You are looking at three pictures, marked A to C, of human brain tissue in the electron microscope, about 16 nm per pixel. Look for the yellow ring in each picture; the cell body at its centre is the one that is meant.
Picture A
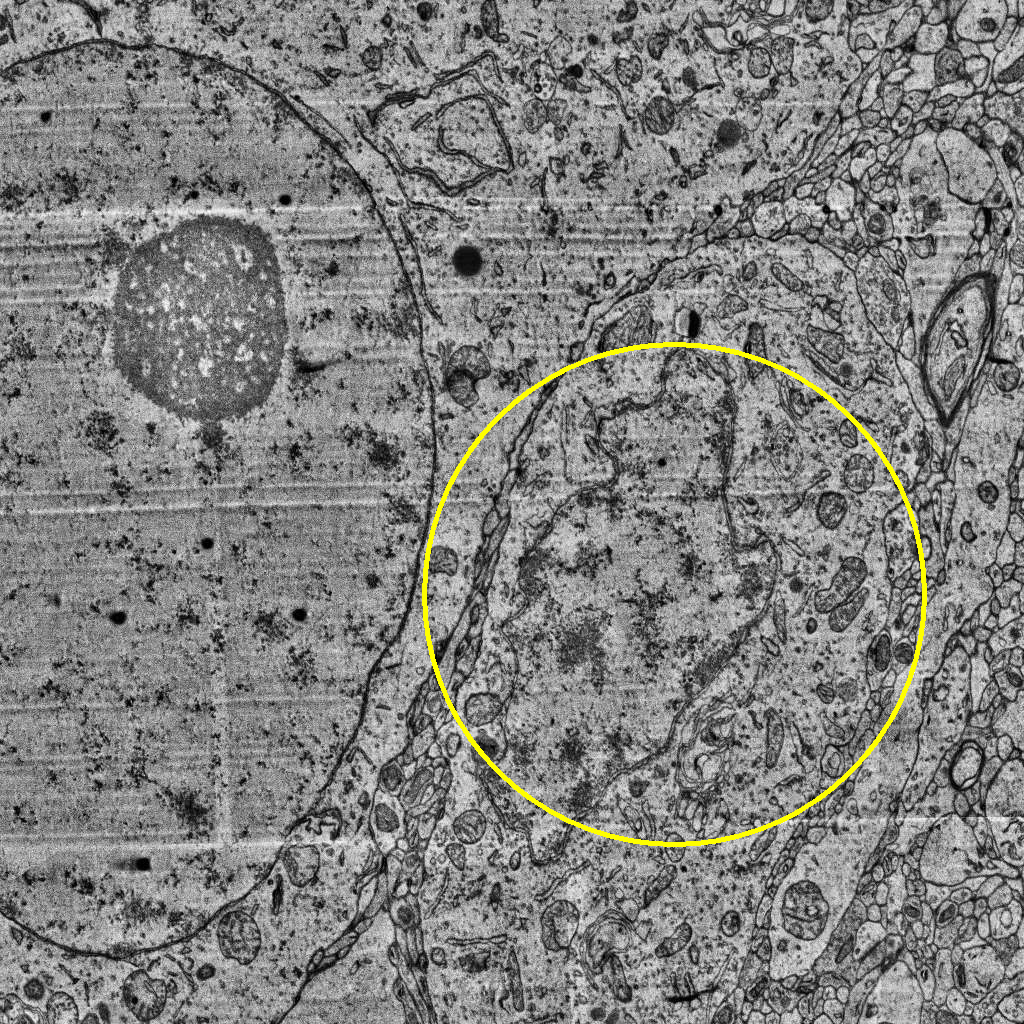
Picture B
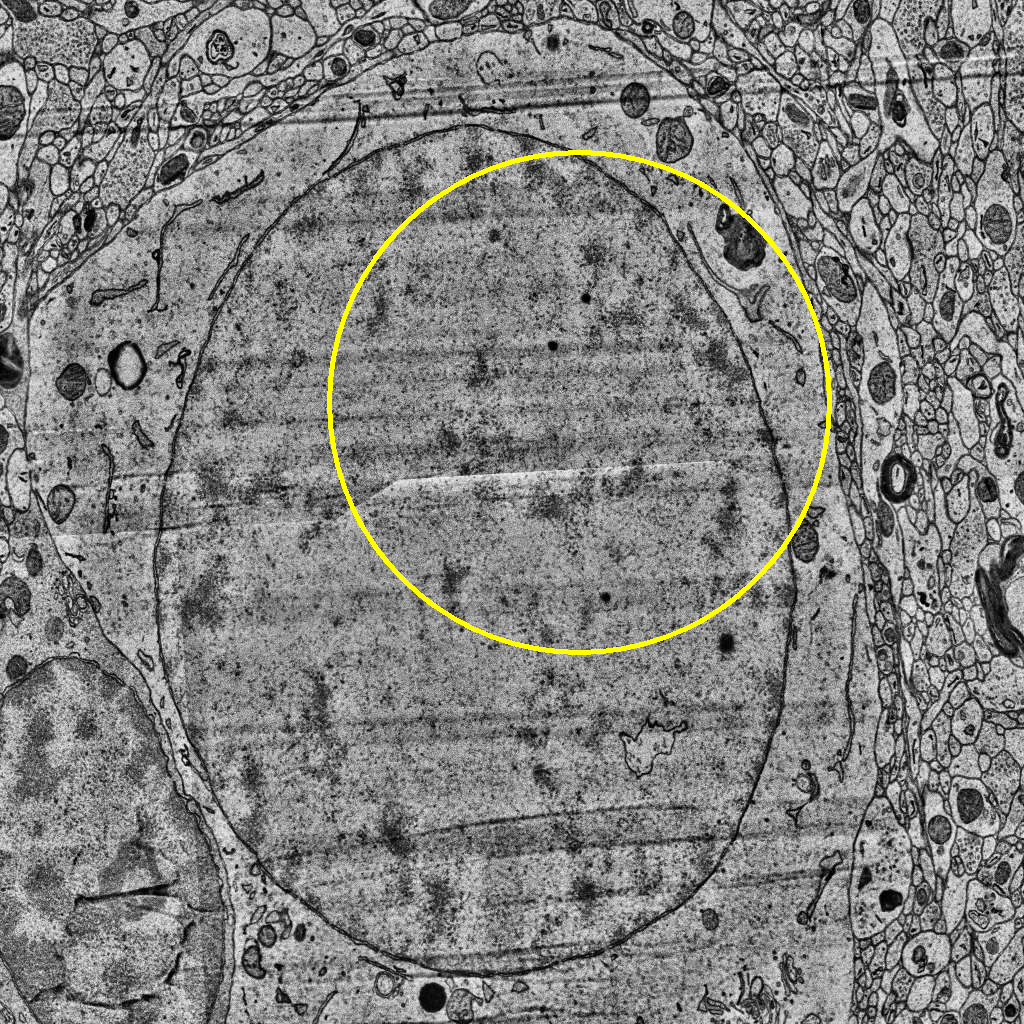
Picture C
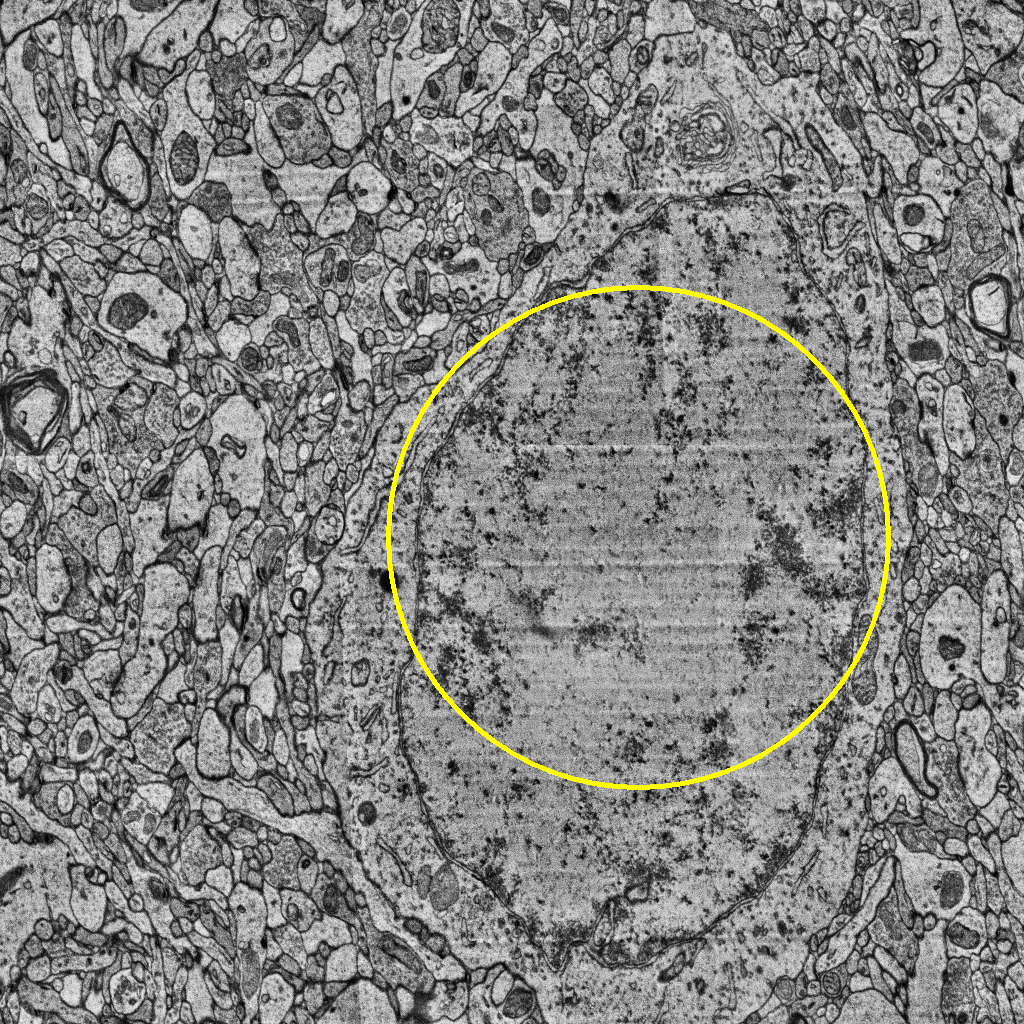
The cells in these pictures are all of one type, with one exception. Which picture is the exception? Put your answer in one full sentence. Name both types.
Unlike the rest, which show interneurons, picture B shows a pyramidal neuron.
